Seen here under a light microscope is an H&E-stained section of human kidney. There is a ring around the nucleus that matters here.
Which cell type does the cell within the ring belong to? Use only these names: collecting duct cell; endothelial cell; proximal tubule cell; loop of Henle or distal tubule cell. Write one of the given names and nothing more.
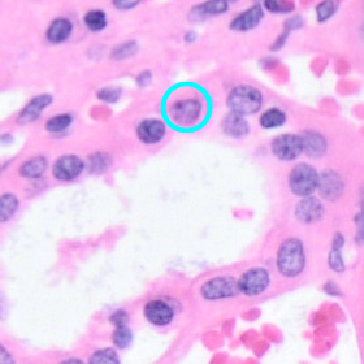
collecting duct cell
